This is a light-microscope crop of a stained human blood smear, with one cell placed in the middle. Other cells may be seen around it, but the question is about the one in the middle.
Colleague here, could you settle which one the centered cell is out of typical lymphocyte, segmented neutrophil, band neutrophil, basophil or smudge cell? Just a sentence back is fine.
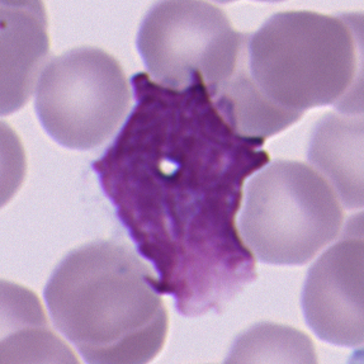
In the center of this field lies a smudge cell.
